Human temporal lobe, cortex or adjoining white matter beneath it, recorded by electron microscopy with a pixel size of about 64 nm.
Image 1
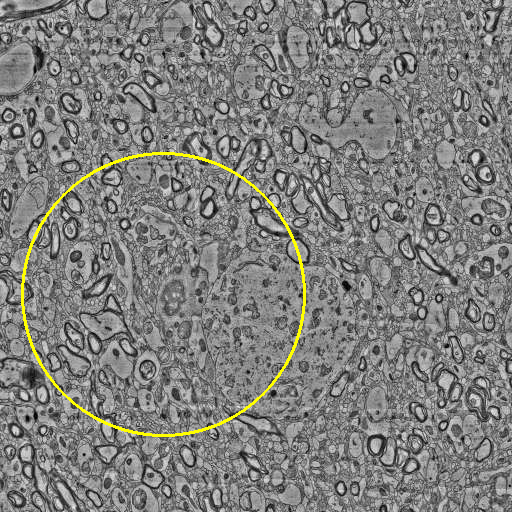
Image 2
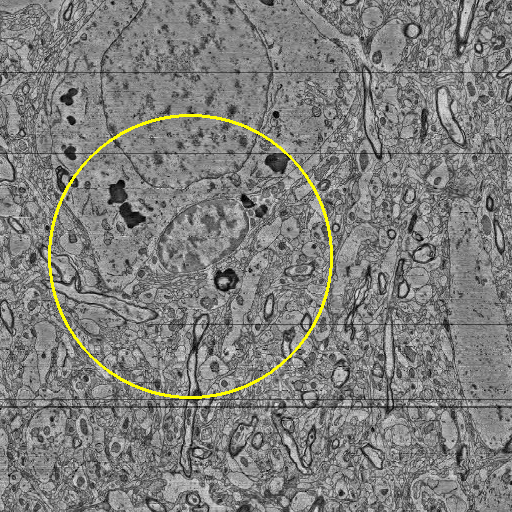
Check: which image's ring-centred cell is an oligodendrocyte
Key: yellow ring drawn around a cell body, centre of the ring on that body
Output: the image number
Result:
1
